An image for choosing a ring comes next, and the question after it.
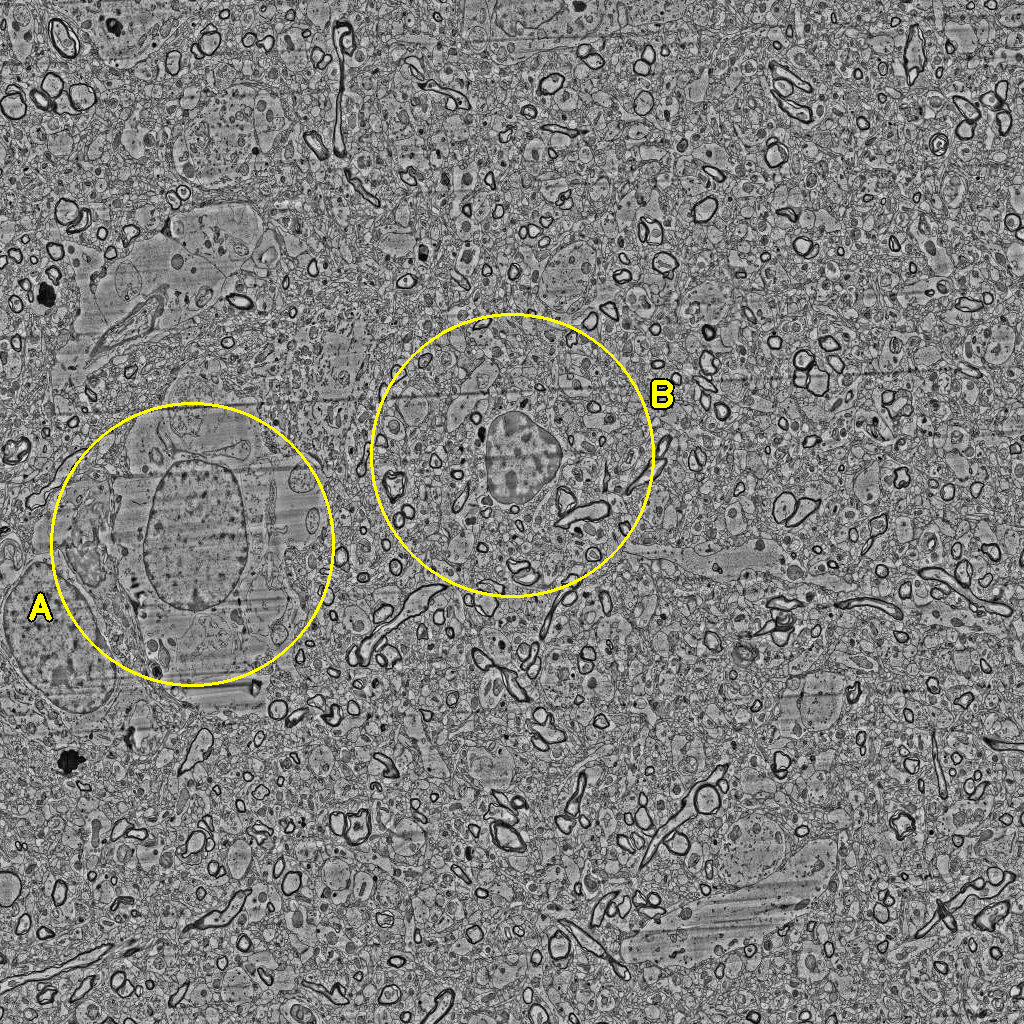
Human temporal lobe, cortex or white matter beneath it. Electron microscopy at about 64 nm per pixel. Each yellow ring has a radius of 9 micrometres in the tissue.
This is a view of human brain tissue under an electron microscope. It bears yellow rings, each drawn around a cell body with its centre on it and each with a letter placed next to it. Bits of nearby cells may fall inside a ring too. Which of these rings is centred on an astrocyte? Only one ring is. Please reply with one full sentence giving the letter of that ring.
Of all the lettered rings, A is the one centred on a cell of that kind.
